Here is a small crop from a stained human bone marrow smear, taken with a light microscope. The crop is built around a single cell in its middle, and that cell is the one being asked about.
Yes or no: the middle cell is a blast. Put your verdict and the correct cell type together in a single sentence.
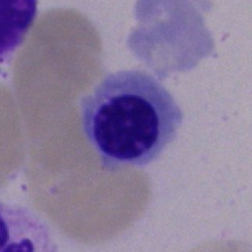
No, wrong label: the middle cell is an erythroblast instead of a blast.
